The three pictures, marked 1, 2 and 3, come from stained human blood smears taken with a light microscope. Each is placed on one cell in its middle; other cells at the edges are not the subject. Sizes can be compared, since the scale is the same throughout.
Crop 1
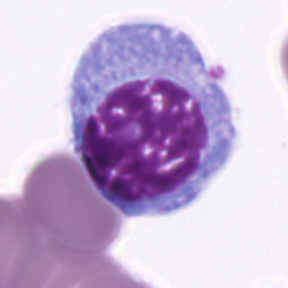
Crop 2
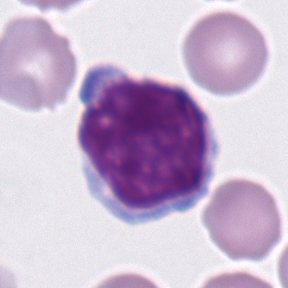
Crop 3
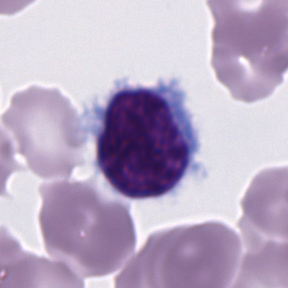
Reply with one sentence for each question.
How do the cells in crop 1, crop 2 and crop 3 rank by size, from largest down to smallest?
Largest first: 1, 2, 3.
